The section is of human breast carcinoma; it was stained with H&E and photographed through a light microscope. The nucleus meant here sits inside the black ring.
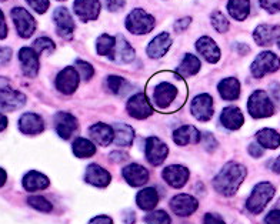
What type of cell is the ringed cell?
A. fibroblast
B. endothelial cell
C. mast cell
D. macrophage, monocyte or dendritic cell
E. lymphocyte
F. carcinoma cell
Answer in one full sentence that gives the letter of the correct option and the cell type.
Option E names it right: the ringed cell is a lymphocyte.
